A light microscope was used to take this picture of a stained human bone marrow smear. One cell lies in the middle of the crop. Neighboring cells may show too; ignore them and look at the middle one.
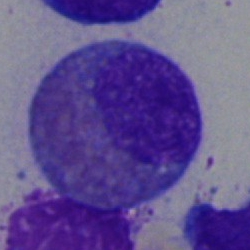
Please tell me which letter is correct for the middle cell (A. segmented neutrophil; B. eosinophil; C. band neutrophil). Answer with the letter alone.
B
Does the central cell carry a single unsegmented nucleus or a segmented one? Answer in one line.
A single compact nucleus, round, oval or kidney-shaped, is what this cell shows.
